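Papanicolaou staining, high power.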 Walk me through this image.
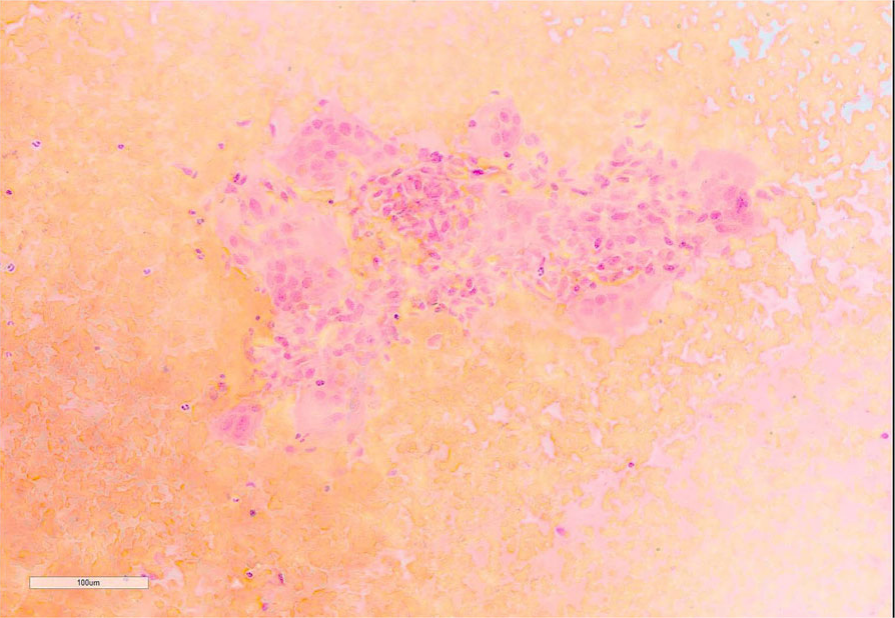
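A cytology smear shows a tight, cohesive group of spindle and epithelioid cells set against an orange-pink background. Large pink cytoplasmic masses holding several nuclei lie at the margins of the group.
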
